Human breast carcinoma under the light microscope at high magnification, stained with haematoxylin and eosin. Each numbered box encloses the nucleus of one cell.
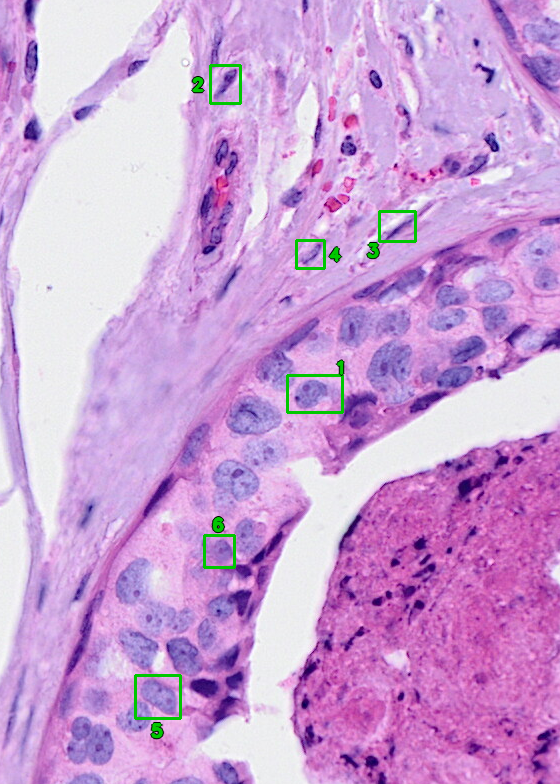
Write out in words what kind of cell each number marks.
Cell 1 is a carcinoma cell, cell 2 is a fibroblast, cell 3 is a fibroblast, cell 4 is a fibroblast, cell 5 is a carcinoma cell and cell 6 is a carcinoma cell.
